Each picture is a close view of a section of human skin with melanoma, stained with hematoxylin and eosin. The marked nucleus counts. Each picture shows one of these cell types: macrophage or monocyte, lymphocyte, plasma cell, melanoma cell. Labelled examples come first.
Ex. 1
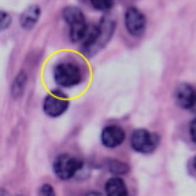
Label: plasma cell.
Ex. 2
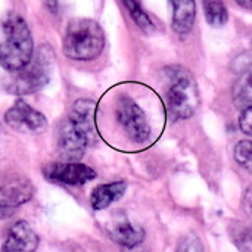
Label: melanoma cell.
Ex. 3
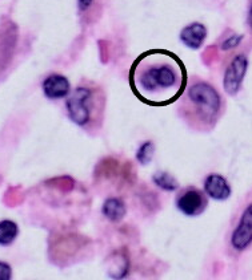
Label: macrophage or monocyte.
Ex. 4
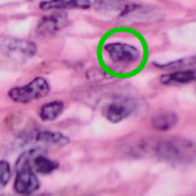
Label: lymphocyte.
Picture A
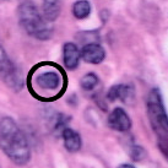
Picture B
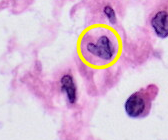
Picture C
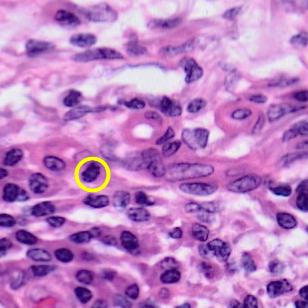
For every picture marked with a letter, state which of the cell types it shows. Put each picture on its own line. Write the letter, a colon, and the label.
A: lymphocyte.
B: macrophage or monocyte.
C: plasma cell.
